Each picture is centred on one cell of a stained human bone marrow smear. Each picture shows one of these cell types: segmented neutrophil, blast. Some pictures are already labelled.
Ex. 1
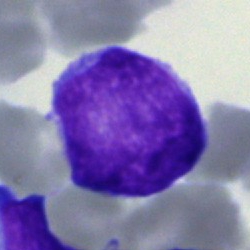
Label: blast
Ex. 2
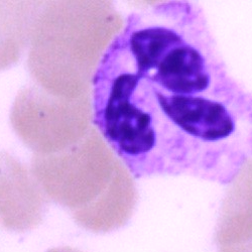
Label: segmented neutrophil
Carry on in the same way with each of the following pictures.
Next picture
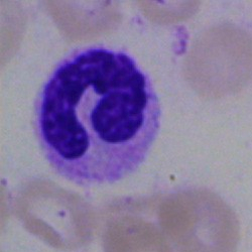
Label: segmented neutrophil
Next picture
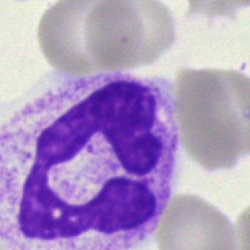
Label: segmented neutrophil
